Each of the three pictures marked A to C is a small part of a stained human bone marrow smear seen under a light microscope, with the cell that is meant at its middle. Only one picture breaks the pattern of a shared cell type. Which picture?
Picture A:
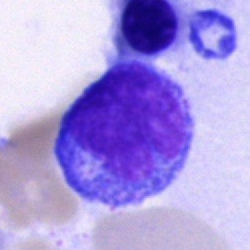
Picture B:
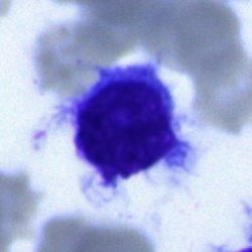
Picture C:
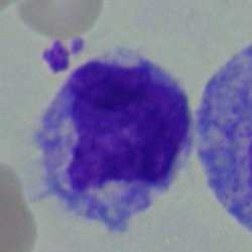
B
